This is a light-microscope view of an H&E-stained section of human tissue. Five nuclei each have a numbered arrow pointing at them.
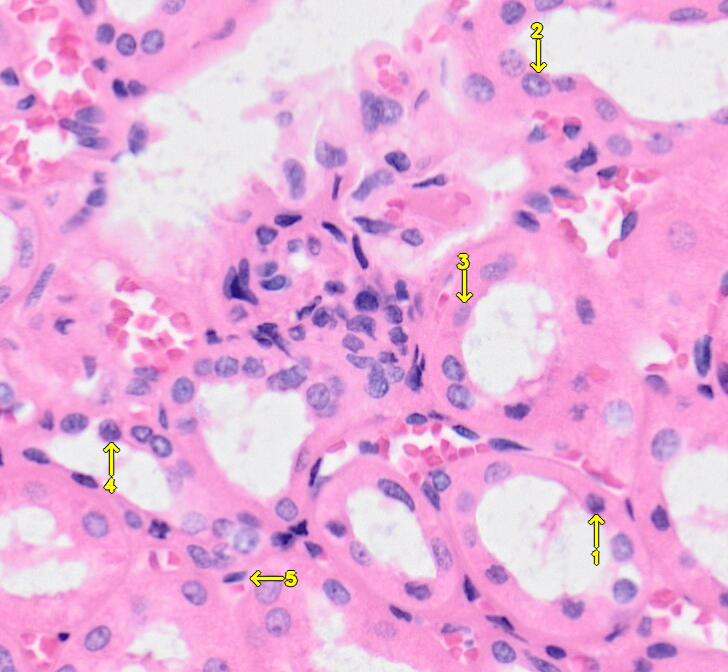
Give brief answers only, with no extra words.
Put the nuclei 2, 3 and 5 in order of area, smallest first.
5, 3, 2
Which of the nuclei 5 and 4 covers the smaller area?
5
